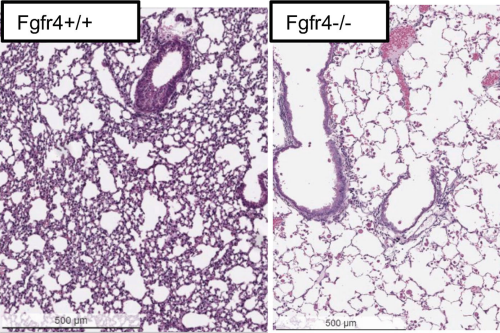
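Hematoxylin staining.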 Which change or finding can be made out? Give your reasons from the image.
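The air spaces in the right half are clearly larger than those in the left half. The right half has fewer, thinner septa per area than the left half.
Conclusion: widened airway spaces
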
